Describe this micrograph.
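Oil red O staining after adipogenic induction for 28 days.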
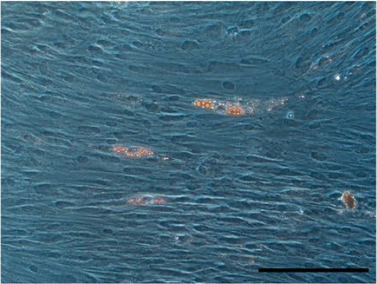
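The cells lie side by side in long parallel streams, their outlines and oval nuclei faintly visible against a bluish-grey background. Scattered among them, a few cells hold clusters of small, round, red-orange droplets in their cytoplasm. Most of the sheet carries no such red droplets, so the stained cells stand out as isolated groups within the spindle-cell layer.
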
